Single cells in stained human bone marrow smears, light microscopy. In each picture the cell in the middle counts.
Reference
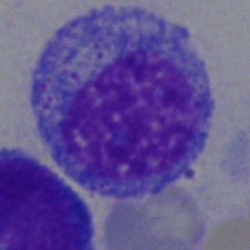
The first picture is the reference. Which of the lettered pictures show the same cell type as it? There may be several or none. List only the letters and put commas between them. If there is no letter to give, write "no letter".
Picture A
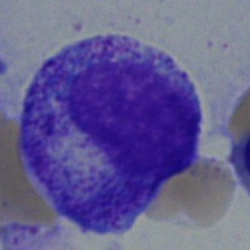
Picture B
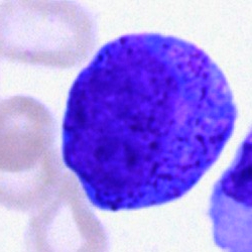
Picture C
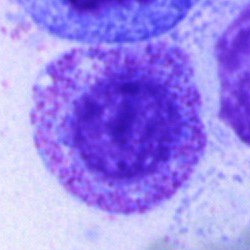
B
